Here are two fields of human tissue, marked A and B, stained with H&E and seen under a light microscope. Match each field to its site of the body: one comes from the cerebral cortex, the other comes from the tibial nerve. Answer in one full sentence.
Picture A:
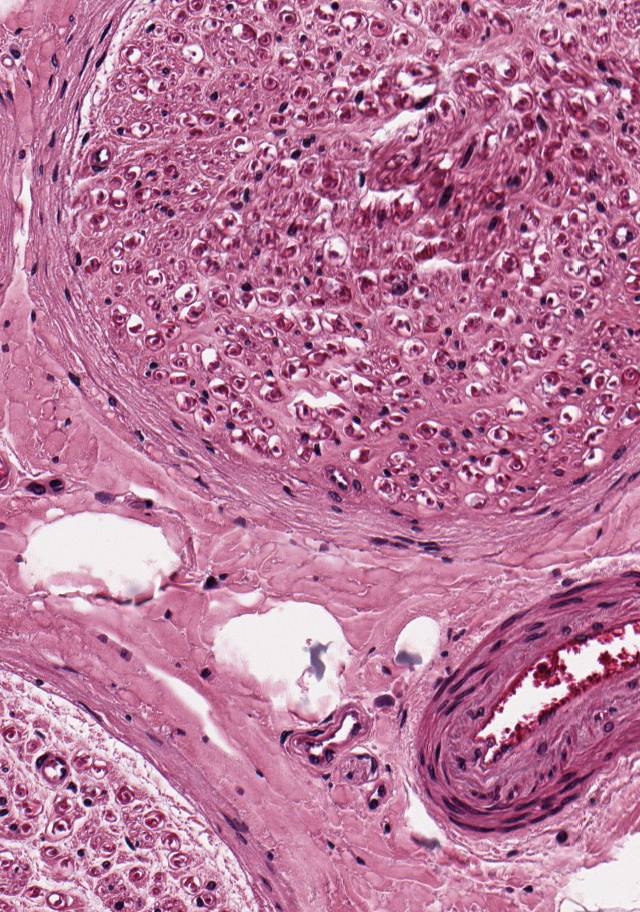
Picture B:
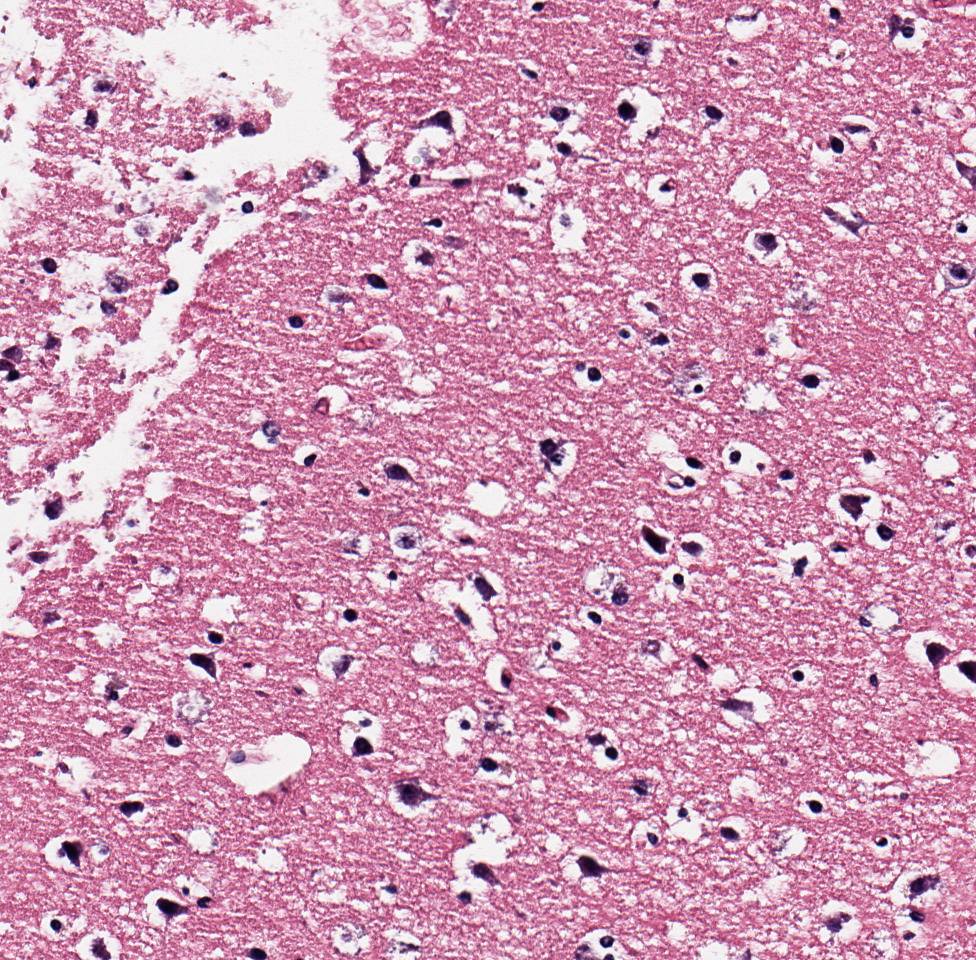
Picture B comes from the cerebral cortex, while picture A comes from the tibial nerve.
